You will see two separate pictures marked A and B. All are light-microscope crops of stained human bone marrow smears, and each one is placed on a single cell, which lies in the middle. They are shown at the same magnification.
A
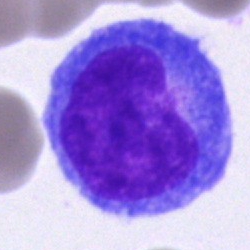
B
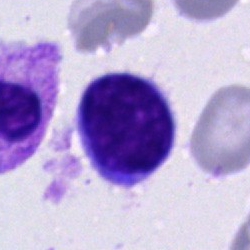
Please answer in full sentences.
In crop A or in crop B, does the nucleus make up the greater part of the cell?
In crop B the nucleus takes up the larger part of its cell.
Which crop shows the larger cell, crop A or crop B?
Crop A holds the larger cell; it covers about 3 times the area of the cell in crop B.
